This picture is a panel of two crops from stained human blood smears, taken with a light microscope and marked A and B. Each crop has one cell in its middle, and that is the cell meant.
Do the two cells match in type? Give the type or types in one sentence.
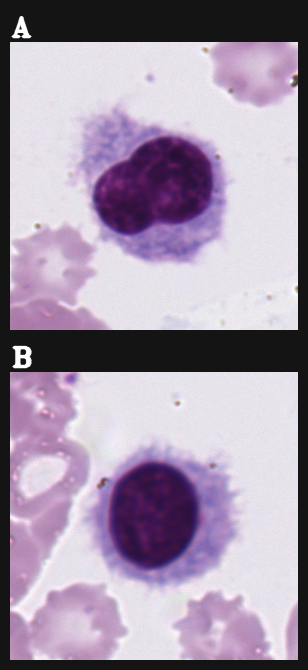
Yes, both crops show hairy cells, and nothing else needs adding.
